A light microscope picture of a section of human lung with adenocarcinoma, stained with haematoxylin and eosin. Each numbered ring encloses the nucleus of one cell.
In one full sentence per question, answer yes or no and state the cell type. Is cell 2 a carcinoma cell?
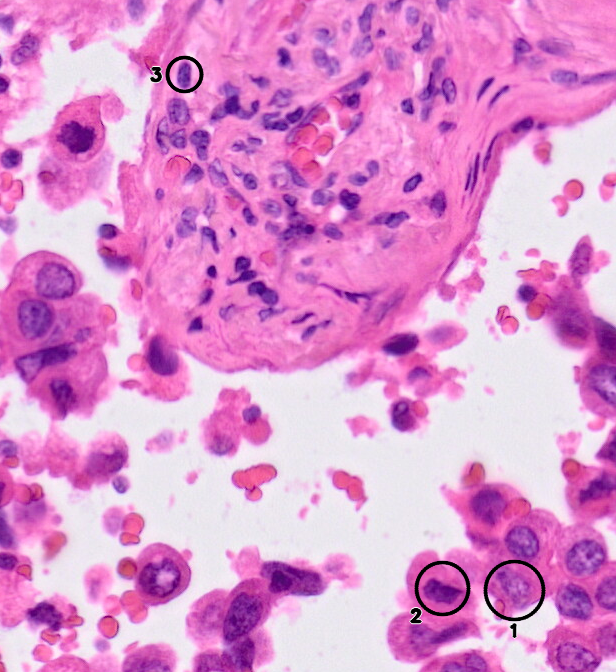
Yes, the cell at the mark numbered 2 is a carcinoma cell.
